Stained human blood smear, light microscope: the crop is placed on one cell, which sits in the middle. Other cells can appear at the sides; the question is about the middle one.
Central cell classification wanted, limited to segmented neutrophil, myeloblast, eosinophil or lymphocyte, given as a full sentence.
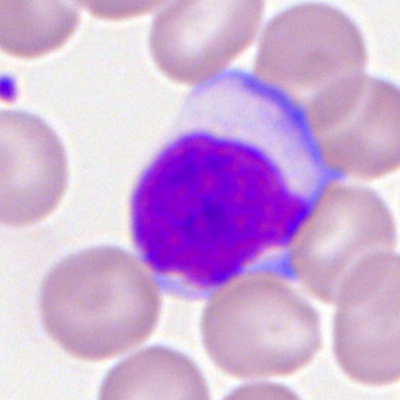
The cell in the exact centre of the crop is a lymphocyte.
